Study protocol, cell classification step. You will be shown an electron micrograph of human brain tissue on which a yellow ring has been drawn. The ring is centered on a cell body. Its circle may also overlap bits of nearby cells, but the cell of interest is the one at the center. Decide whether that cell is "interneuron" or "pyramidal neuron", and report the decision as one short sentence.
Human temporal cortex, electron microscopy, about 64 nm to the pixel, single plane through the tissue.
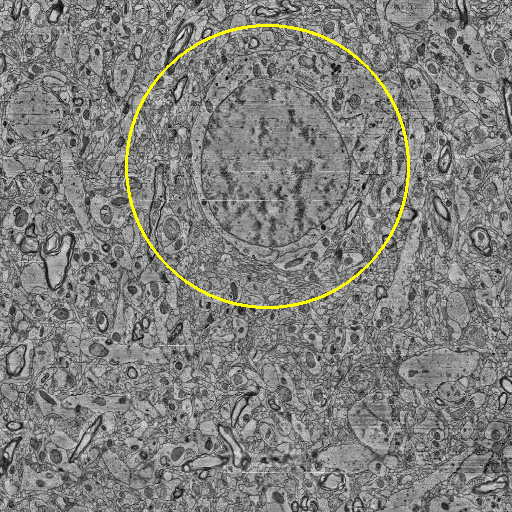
The marked cell is a pyramidal neuron.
